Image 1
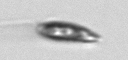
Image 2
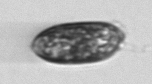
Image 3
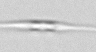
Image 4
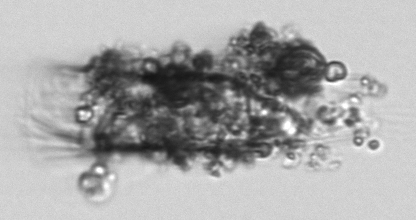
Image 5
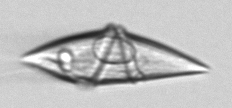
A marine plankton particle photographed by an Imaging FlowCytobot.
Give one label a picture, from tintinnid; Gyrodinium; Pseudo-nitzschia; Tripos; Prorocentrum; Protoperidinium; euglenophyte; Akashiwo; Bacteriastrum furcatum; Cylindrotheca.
(1) euglenophyte
(2) Prorocentrum
(3) Cylindrotheca
(4) tintinnid
(5) Gyrodinium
